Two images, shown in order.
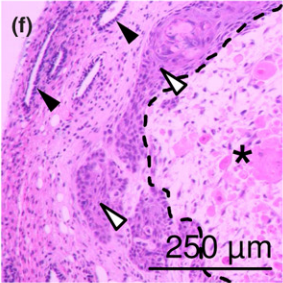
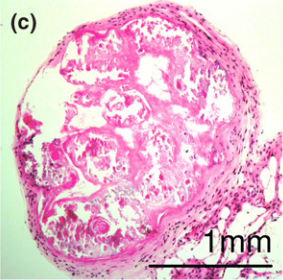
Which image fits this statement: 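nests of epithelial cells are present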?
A: The first image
